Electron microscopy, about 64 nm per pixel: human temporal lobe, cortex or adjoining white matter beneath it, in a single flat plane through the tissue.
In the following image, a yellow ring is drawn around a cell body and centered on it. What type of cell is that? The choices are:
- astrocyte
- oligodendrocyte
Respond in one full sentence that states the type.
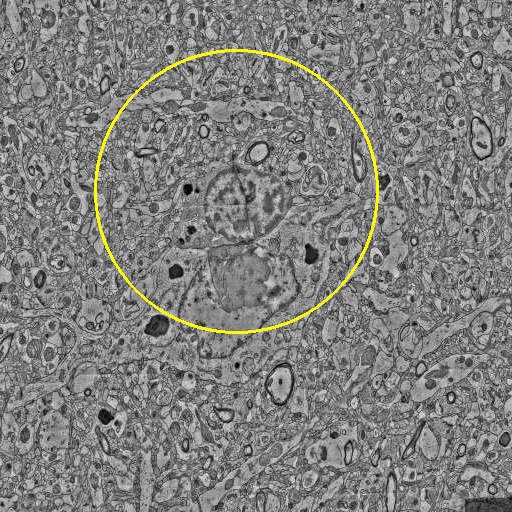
The cell at the center of the yellow ring in the image is an oligodendrocyte.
